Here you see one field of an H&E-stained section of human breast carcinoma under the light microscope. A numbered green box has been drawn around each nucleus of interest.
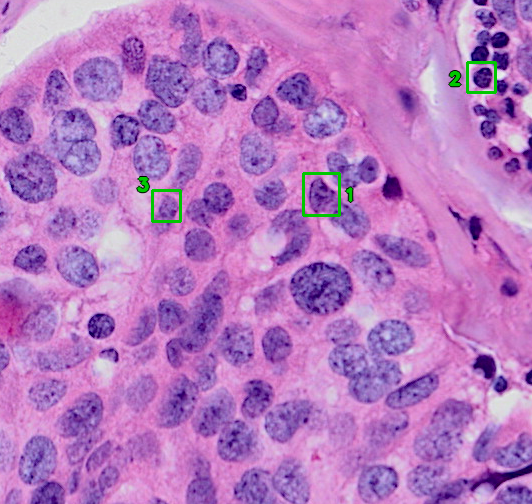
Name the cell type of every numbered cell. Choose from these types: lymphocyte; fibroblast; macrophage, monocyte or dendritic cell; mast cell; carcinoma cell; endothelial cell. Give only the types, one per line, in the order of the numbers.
carcinoma cell
lymphocyte
carcinoma cell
